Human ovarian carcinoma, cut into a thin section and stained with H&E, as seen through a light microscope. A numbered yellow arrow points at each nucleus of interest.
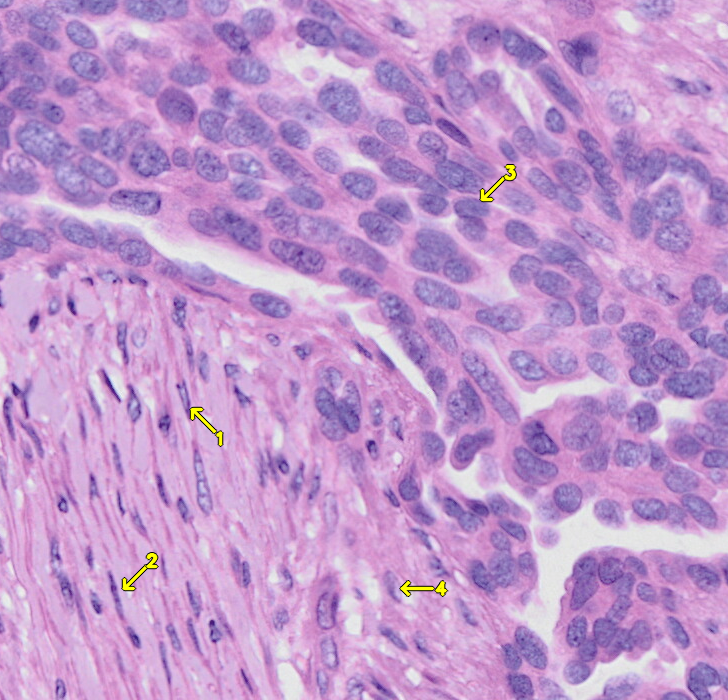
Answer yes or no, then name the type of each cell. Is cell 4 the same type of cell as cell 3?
No, cell number 4 is a fibroblast and cell number 3 is a carcinoma cell.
